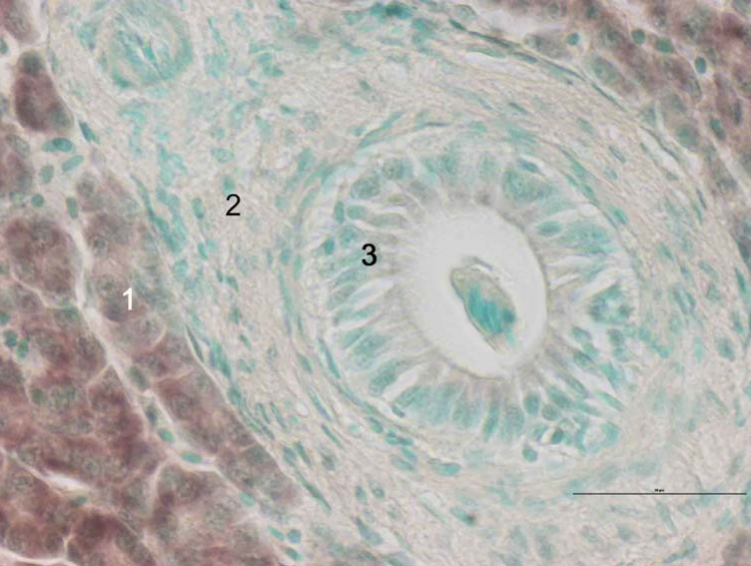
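Liver tissue with hepatocytes, connective tissue and a bile duct. At the left, and at the upper right corner, large polygonal hepatocytes form cords. Their cytoplasm is stained brown and each has a rounded nucleus. A broad band of pale, loosely fibrous connective tissue with scattered small, elongated green nuclei separates them from a round bile duct. The duct is lined by a single layer of tall columnar epithelial cells with green nuclei, arranged radially around an open lumen. The lumen holds a small piece of green-stained material. Concentric layers of fibrous tissue with flattened nuclei encircle the epithelium. The duct cells and connective tissue show no brown stain.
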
